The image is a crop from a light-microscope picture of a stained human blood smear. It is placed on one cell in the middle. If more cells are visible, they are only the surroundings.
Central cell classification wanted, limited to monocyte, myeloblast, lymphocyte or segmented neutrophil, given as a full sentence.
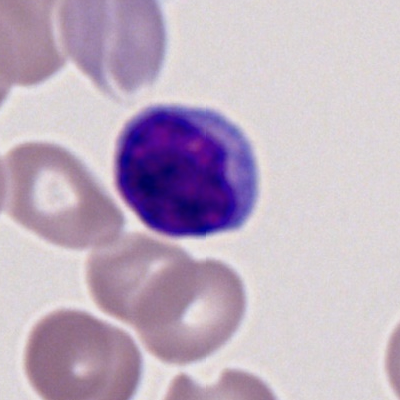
At the crop's centre, the cell is a lymphocyte.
